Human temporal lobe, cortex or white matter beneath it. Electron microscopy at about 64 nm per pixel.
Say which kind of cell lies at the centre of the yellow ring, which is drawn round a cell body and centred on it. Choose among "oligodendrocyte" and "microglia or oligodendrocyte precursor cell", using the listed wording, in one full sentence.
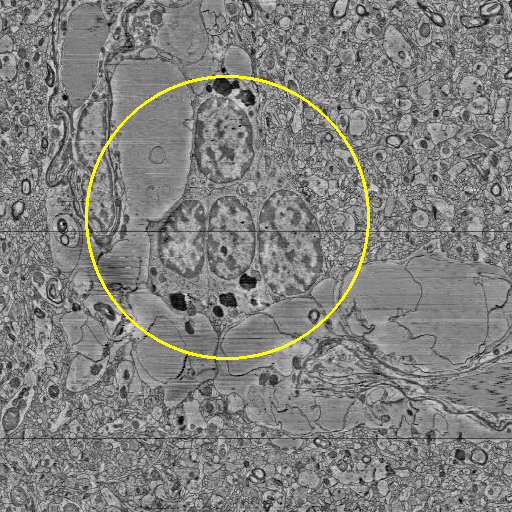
Going by the list, the cell at the yellow ring's centre is an oligodendrocyte.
